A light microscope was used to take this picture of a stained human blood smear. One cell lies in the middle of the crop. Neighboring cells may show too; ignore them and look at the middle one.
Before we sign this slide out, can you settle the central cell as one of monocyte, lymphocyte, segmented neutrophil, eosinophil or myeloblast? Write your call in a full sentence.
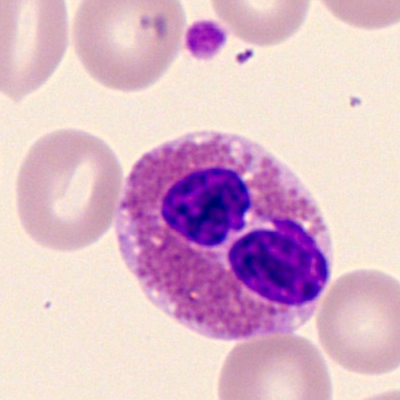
The center cell of this crop is an eosinophil.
